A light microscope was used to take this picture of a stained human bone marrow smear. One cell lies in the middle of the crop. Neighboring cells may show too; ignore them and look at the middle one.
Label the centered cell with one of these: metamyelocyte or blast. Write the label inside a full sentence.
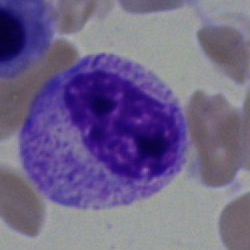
The cell found in the middle of this crop is a metamyelocyte.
